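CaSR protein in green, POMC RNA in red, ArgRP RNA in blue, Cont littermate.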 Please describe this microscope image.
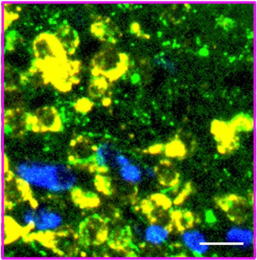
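This enlarged fluorescence view of the arcuate nucleus shows a cluster of rounded neuronal cell bodies whose cytoplasm is labelled yellow, where red and green overlap, often as rings around a darker centre. They sit on a dense background of fine green puncta, and a few separate cells with compact blue label lie between them toward the lower left.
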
